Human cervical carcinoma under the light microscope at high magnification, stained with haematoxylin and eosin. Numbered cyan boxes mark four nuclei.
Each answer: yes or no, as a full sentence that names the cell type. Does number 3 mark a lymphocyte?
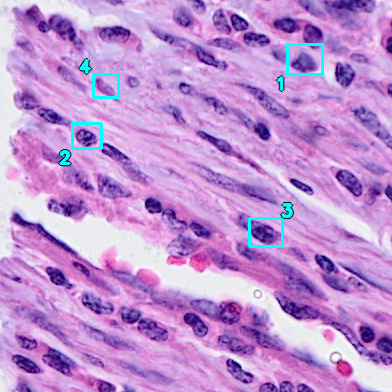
Yes, the cell labelled with number 3 is a lymphocyte.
